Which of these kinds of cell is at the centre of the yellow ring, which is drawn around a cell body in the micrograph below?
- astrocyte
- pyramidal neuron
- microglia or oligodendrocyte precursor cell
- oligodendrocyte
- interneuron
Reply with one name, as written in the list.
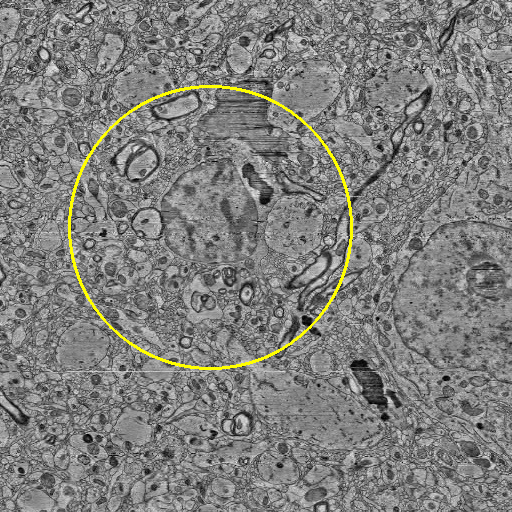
oligodendrocyte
